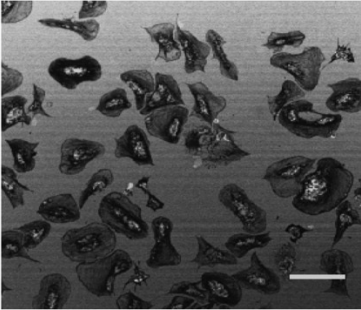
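Many small, flattened cells lie spread on a flat surface, each with a dark thin spread margin and a bright, granular centre. Their outlines are irregular, some rounded and fan-like, others drawn out into pointed corners. No nucleus stands out in any of them. These are blood platelets that have spread out on the surface, their granules gathered toward the middle.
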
